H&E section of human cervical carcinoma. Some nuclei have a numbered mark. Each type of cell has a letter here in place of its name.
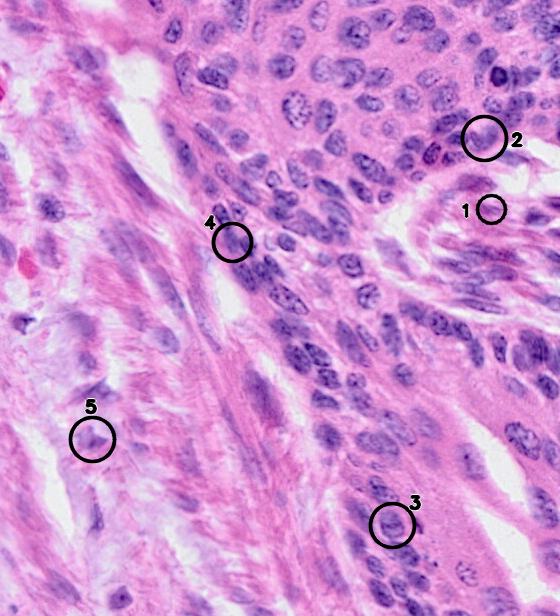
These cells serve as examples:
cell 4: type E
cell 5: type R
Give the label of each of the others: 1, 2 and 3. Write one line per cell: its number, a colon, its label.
1: type R
2: type E
3: type E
